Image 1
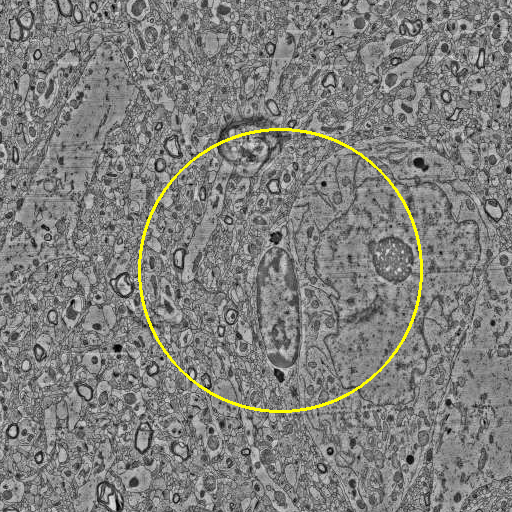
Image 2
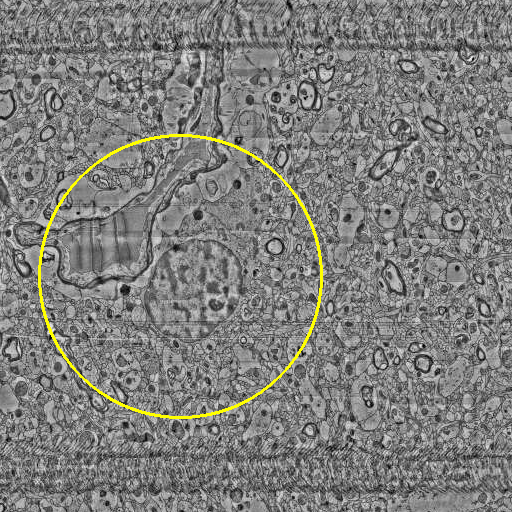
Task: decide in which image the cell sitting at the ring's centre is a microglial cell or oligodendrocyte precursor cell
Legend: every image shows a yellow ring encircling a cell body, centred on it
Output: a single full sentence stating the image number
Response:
In image 1, the cell at the middle of the ring is the match.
